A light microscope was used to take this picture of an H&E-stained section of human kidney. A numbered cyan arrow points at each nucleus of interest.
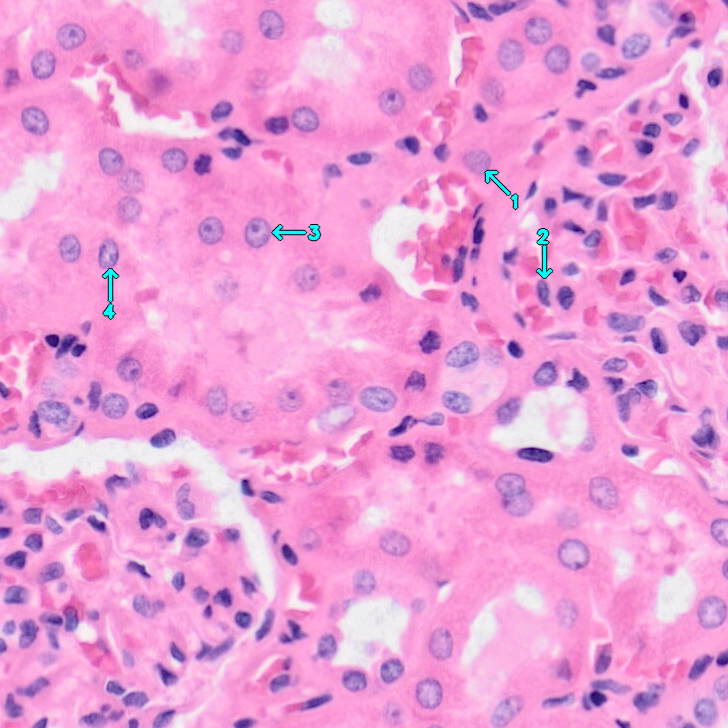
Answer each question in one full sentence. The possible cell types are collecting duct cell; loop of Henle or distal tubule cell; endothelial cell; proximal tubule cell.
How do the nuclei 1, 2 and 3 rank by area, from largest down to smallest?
From largest to smallest, the order is 3, 1, 2.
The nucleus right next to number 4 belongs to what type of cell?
Closest to number 4 lies the nucleus of a proximal tubule cell.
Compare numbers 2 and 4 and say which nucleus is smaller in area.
Number 2 is smaller, since number 4 takes up about 1.5 times as much area.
